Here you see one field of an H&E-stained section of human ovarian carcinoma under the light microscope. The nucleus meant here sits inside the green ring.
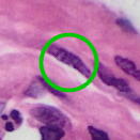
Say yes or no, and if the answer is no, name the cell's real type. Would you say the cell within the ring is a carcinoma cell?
No, it is a fibroblast.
